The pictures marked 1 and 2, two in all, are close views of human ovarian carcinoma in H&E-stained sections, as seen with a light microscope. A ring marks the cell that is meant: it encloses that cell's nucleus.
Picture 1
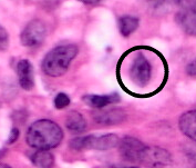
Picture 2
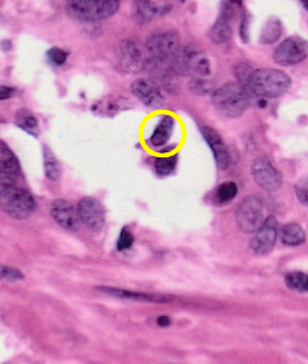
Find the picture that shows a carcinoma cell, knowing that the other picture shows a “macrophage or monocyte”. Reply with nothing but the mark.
2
